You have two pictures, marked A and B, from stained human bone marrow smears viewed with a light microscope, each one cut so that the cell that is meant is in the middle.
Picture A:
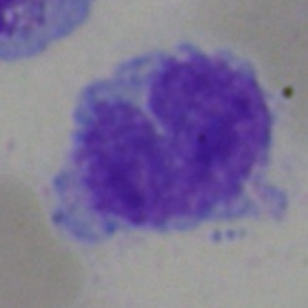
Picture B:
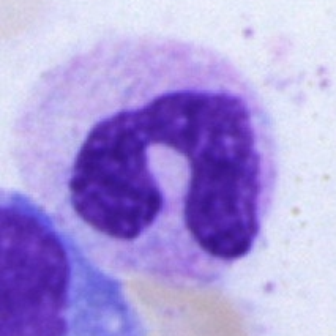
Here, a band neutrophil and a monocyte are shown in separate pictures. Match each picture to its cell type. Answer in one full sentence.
Picture B shows a band neutrophil, while picture A shows a monocyte.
